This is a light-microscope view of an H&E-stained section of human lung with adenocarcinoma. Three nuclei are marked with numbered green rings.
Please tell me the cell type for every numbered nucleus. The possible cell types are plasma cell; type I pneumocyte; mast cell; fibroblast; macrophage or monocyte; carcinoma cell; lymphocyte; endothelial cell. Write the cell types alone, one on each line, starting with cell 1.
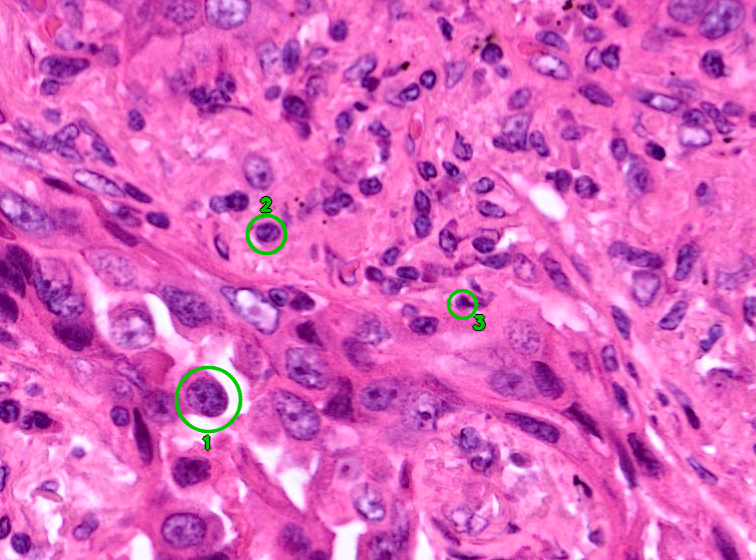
carcinoma cell
plasma cell
lymphocyte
